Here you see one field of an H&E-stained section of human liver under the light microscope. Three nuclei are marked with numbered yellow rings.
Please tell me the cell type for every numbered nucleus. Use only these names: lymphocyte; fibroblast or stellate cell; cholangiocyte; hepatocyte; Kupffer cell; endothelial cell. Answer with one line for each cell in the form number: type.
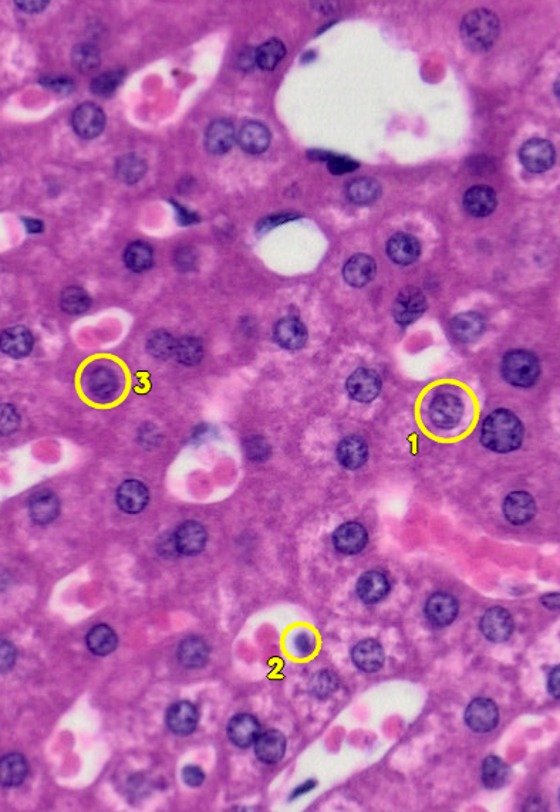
1: hepatocyte
2: lymphocyte
3: hepatocyte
